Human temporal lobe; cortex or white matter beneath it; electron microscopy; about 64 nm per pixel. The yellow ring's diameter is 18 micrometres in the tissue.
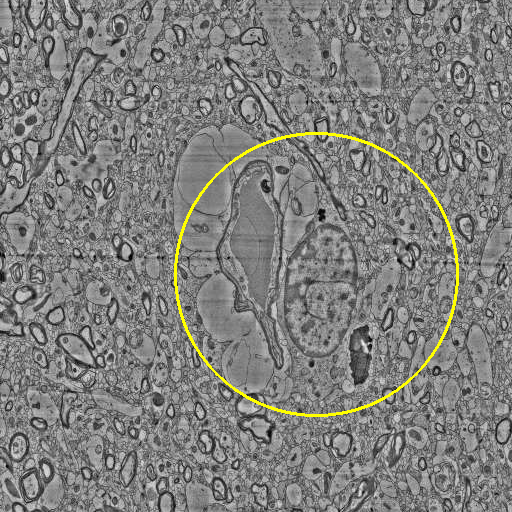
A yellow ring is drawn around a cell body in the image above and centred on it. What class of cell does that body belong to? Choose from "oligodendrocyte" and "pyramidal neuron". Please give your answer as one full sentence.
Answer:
The yellow ring above is centred on the cell body of an oligodendrocyte.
